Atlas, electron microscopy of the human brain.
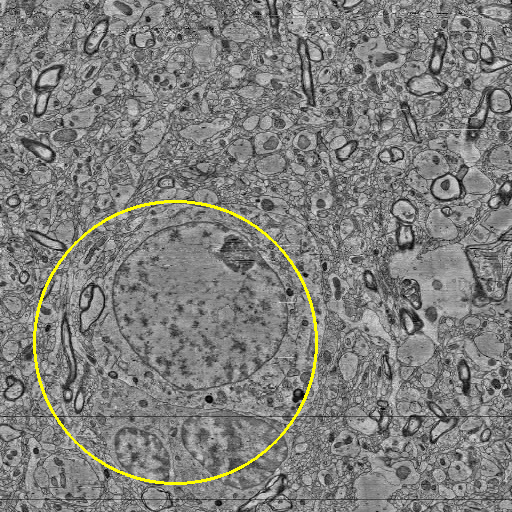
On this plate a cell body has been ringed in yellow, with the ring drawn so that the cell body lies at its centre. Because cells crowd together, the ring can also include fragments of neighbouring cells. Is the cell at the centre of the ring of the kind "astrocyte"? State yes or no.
No, it is of another kind.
